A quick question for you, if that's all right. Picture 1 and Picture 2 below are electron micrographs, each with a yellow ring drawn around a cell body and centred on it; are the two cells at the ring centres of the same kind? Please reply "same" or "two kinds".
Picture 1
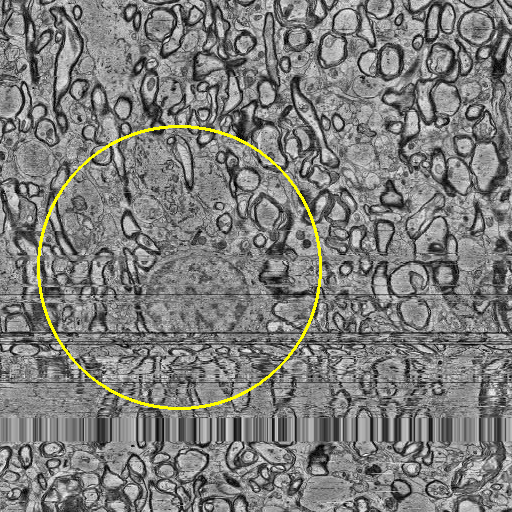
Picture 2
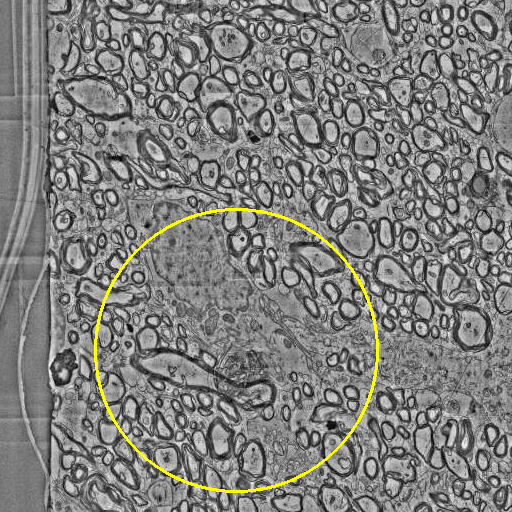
two kinds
